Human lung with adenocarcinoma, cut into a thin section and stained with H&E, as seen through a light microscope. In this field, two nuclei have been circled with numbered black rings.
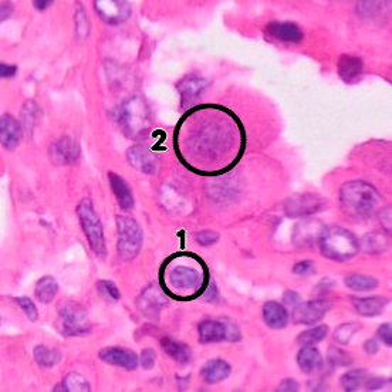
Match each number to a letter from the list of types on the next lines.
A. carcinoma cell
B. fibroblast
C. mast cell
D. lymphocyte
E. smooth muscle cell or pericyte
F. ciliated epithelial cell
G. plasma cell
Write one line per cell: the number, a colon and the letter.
1: D
2: A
